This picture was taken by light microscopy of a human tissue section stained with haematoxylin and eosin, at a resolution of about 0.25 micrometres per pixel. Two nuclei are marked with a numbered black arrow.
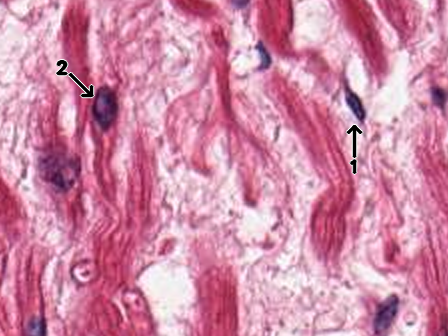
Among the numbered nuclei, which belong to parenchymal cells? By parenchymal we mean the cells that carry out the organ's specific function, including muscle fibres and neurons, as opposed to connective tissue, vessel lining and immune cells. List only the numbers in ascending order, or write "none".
2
